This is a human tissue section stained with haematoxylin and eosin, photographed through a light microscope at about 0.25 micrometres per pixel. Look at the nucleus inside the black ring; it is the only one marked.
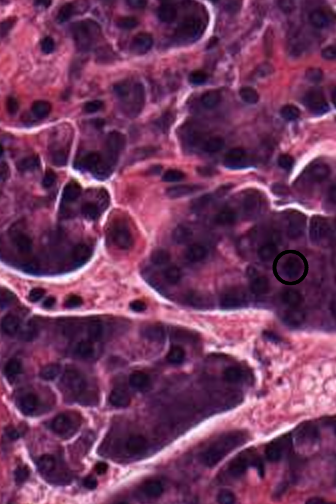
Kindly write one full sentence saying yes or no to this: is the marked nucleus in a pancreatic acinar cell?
Yes, a pancreatic acinar cell is the cell to which the marked nucleus belongs.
